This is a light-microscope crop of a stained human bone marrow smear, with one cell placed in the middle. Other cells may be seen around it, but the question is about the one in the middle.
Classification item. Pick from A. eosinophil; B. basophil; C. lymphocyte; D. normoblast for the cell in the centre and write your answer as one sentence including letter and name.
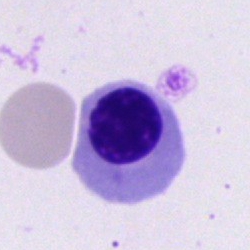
Answer key: option D, the middle cell being a normoblast.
